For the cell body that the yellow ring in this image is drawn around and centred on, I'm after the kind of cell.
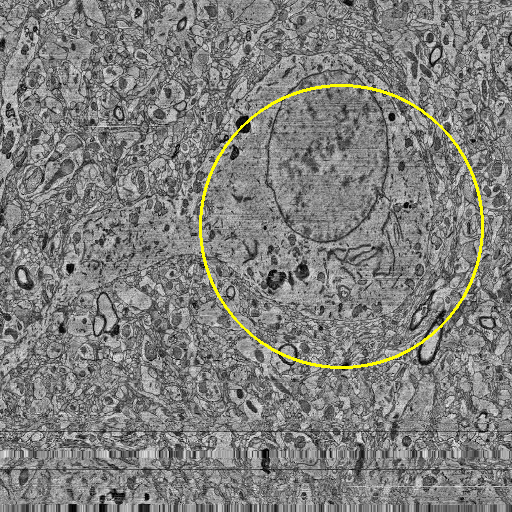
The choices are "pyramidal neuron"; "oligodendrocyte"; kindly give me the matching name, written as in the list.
pyramidal neuron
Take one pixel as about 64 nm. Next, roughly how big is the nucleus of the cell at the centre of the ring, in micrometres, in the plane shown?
Roughly 11 micrometres by 8 micrometres, in this plane.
